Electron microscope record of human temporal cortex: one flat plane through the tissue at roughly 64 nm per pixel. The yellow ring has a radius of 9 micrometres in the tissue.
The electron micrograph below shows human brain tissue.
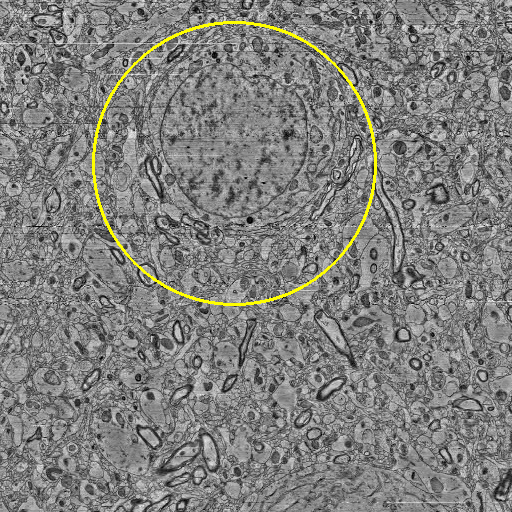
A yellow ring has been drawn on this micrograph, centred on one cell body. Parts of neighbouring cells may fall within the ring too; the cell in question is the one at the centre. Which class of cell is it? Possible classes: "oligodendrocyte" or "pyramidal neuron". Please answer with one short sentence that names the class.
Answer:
In the centre of the ring sits a pyramidal neuron.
